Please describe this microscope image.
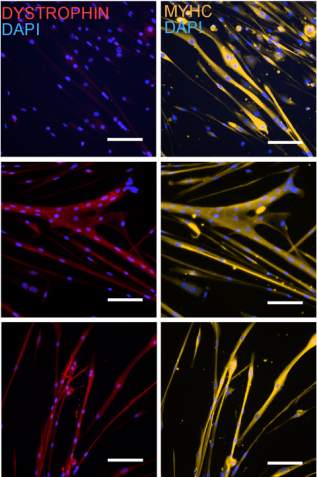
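These are cultured myotubes, long multinucleated cells formed by fusion of myoblasts, shown in a grid of fluorescence images. In the right-hand column the yellow stain fills long, slender, sometimes branching fibres, and rows of blue oval nuclei lie along their length, with scattered single nuclei between them. In the left-hand column the red stain outlines similar elongated cells in the middle and bottom rows, whereas in the top row red is faint and the field shows mostly blue nuclei. The yellow-stained fibres are present in all three rows.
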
